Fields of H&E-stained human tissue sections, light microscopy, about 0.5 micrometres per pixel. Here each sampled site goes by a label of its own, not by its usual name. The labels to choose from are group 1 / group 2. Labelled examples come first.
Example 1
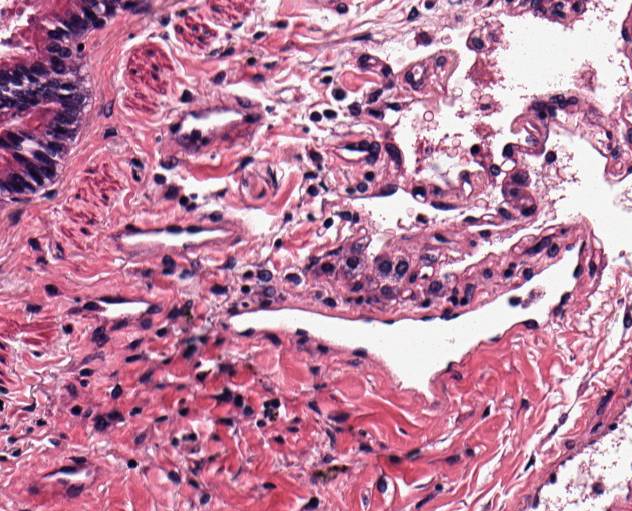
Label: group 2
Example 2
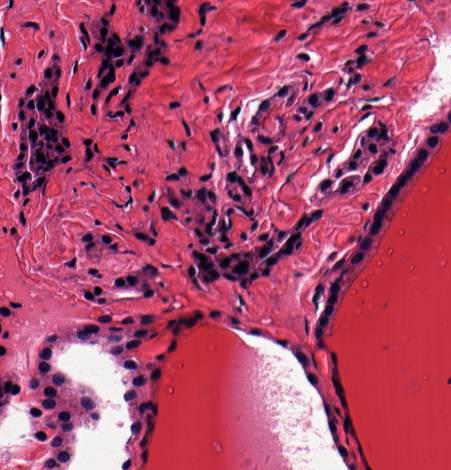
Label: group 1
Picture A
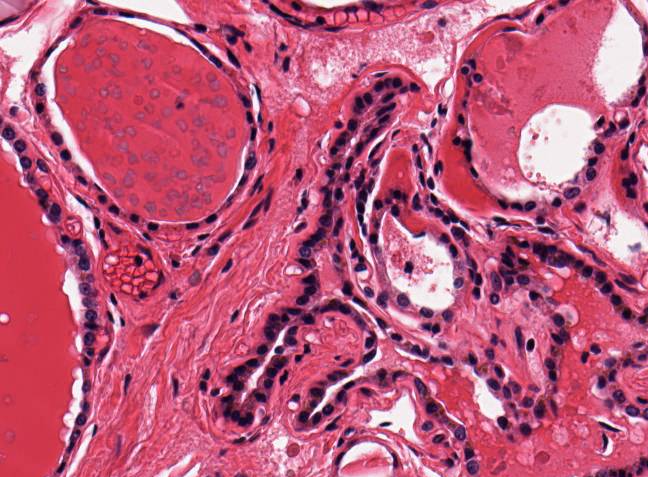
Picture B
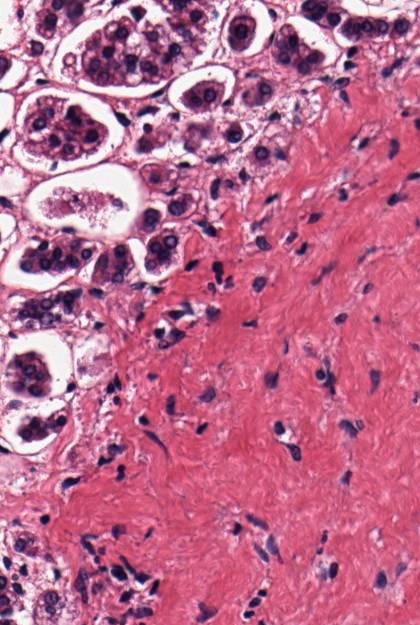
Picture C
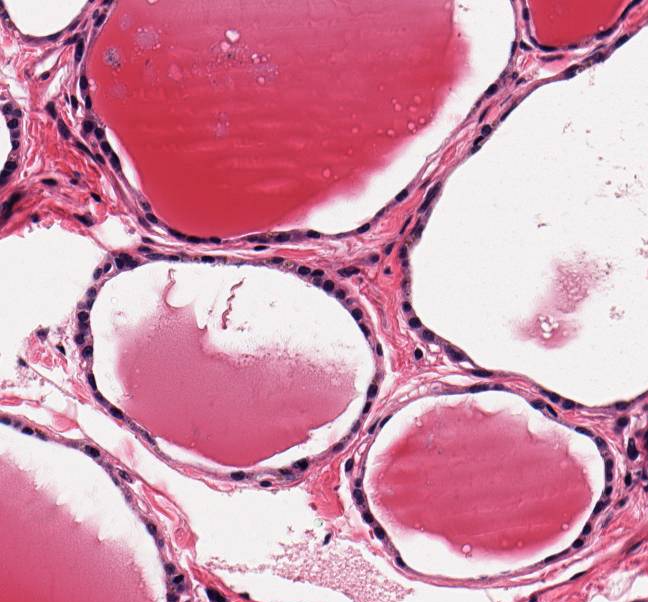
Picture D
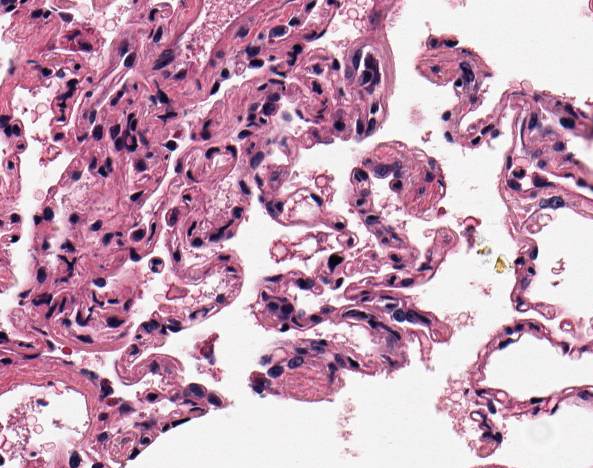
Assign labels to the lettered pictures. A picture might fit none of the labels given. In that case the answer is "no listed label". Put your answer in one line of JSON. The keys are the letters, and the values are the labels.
{"A": "group 1", "B": "no listed label", "C": "group 1", "D": "group 2"}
